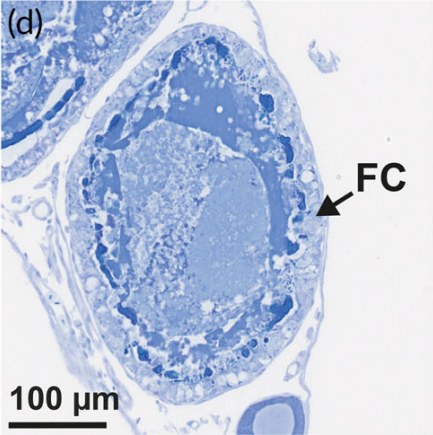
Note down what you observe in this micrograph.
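A degenerating oocyte in late atresia is seen as an oval follicle whose dark blue envelope has broken into separate fragments. Around it lies a thickened layer of follicle cells, and the interior is mottled and pale with no intact envelope delimiting it.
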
